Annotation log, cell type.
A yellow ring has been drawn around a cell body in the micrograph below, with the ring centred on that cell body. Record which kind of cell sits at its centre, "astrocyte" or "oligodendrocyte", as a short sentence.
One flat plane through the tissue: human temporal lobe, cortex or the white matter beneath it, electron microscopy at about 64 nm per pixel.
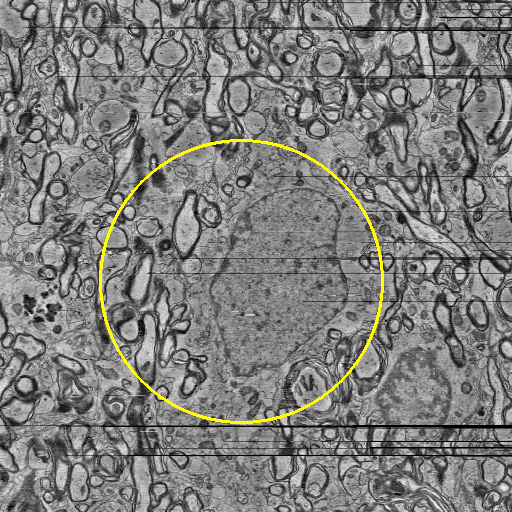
The cell at the centre of this ring is an astrocyte.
